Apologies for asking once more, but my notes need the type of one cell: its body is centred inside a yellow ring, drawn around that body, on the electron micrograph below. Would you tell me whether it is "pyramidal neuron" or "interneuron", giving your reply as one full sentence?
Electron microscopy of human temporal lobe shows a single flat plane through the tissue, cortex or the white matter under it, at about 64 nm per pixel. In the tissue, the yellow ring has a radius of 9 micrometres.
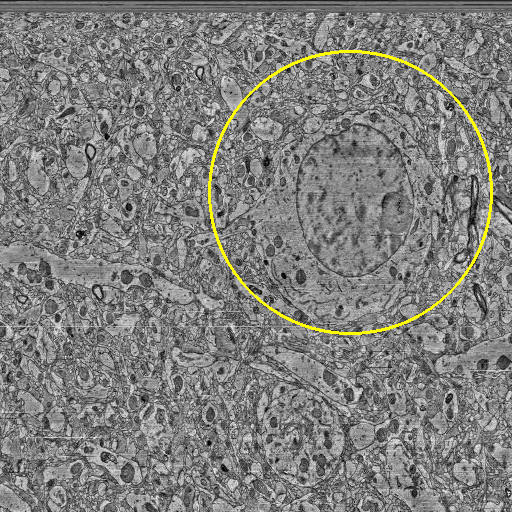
The cell that the yellow ring is centred on is a pyramidal neuron in this micrograph.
